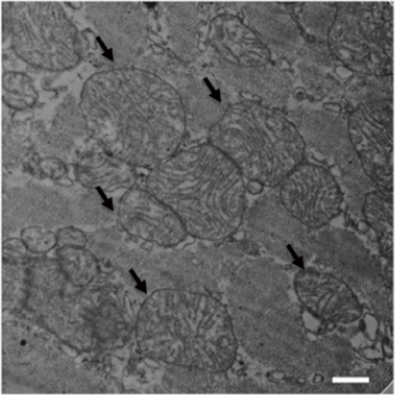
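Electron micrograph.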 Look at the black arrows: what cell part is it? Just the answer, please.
mitochondrial structure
